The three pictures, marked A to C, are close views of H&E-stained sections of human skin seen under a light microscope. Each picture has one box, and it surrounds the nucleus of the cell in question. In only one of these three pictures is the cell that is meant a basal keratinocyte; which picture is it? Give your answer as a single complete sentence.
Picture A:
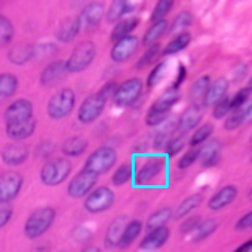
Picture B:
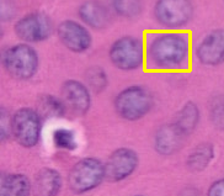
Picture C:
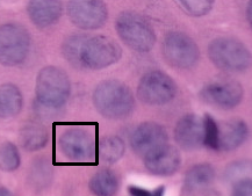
The cell in picture A is the basal keratinocyte.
